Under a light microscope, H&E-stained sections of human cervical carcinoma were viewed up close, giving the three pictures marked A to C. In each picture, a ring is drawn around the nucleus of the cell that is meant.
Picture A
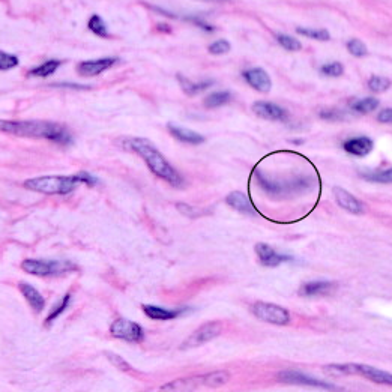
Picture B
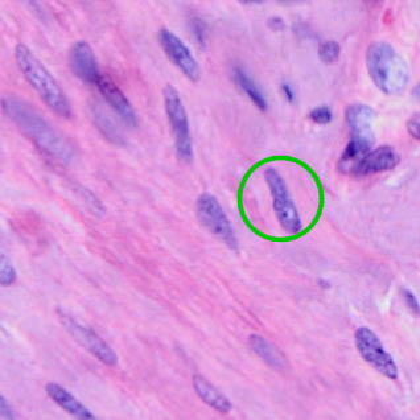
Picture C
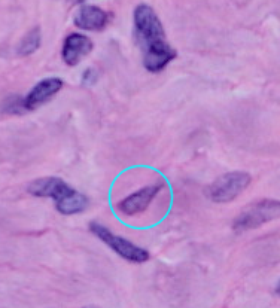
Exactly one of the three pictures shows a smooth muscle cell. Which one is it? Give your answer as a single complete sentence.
It is picture A that shows the smooth muscle cell.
